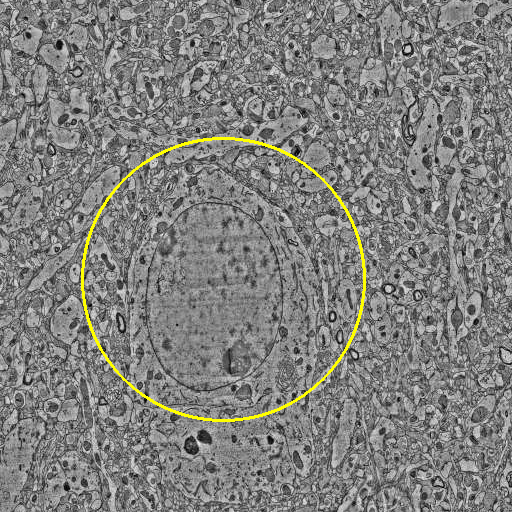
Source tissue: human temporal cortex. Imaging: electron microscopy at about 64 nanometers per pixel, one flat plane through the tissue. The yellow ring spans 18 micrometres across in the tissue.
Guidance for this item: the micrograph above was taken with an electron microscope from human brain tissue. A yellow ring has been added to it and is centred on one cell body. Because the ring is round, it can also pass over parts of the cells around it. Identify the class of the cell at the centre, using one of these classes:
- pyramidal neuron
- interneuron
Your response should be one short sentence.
The ring surrounds the body of a pyramidal neuron.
